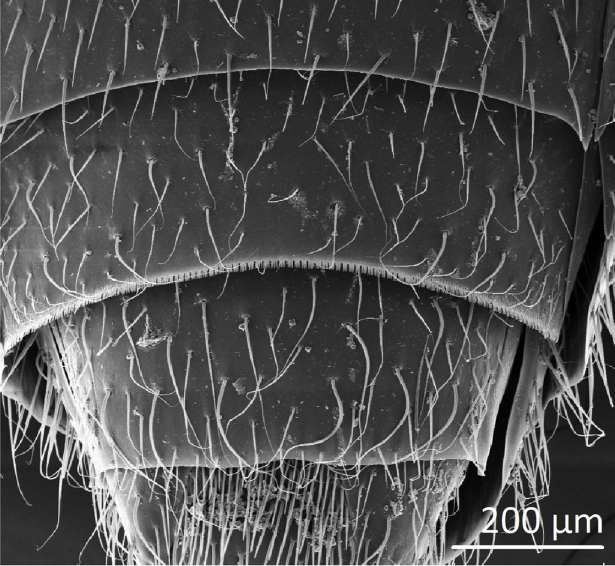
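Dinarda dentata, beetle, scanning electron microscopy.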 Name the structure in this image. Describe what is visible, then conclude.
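The posterior edge of the middle plate carries a fine comb-like fringe. The edges of the other plates in view are smooth. So: serrate structure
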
